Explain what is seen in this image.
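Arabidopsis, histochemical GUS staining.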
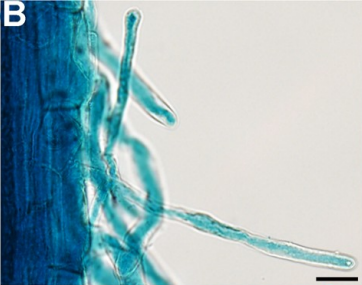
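These are root hairs growing out from the epidermis of a root. The root body on the left is stained deep blue, with elongated cell files visible along its length. Long, unbranched tubular root hairs extend outward from its surface, stained a lighter blue-green, with smooth walls and rounded tips.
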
